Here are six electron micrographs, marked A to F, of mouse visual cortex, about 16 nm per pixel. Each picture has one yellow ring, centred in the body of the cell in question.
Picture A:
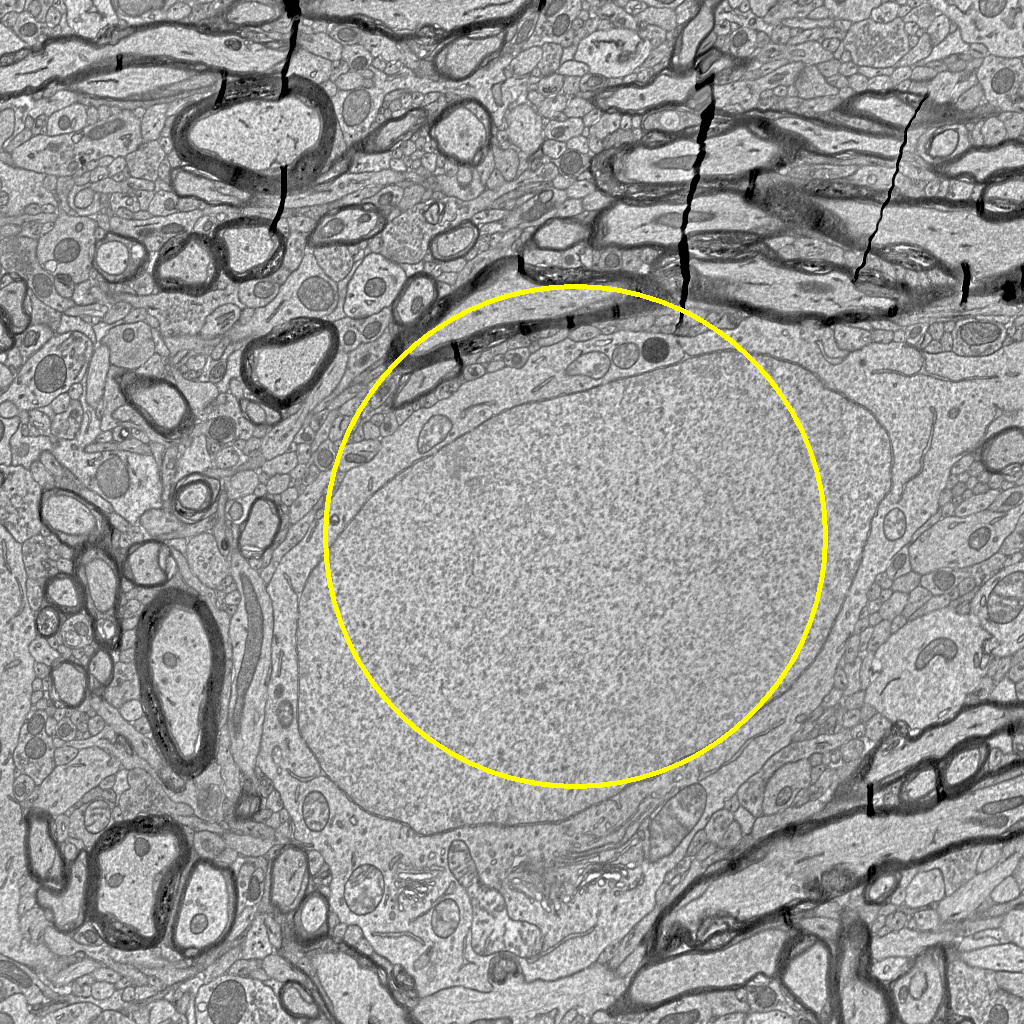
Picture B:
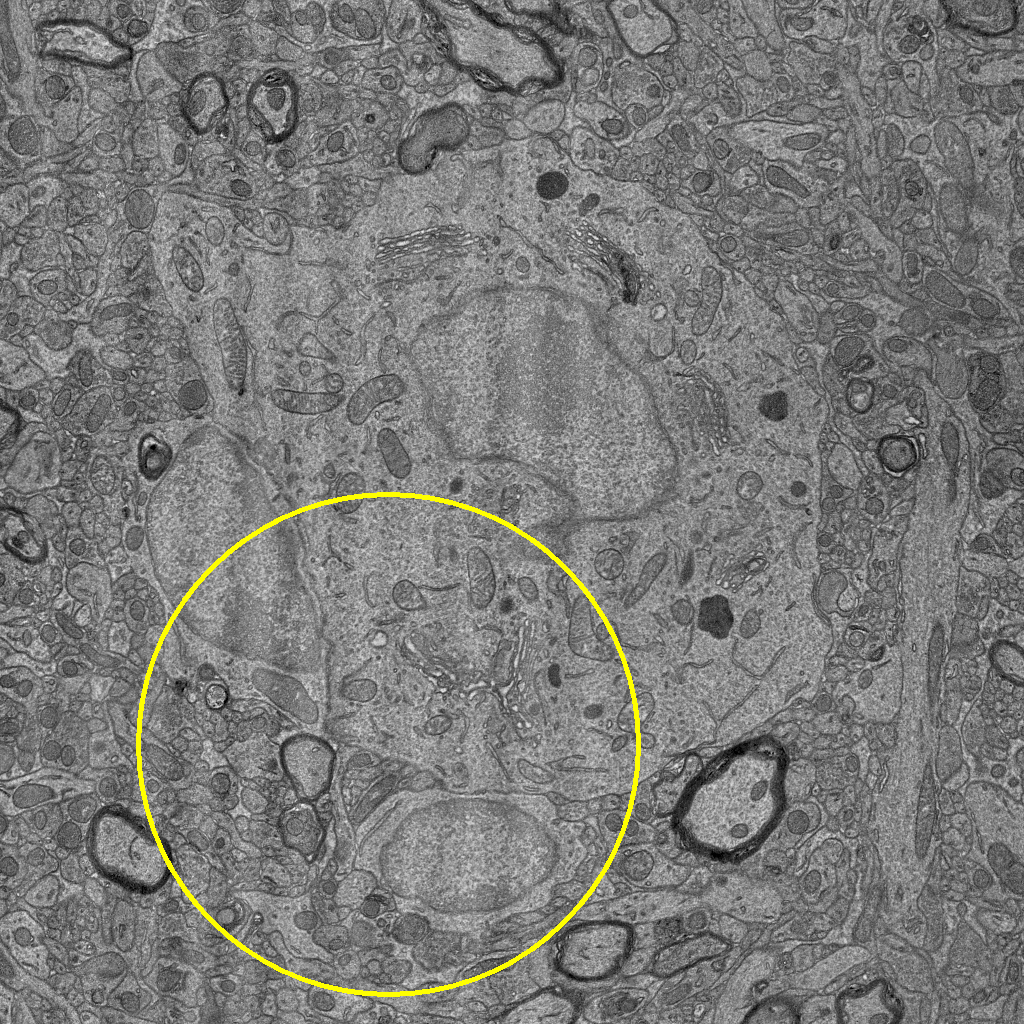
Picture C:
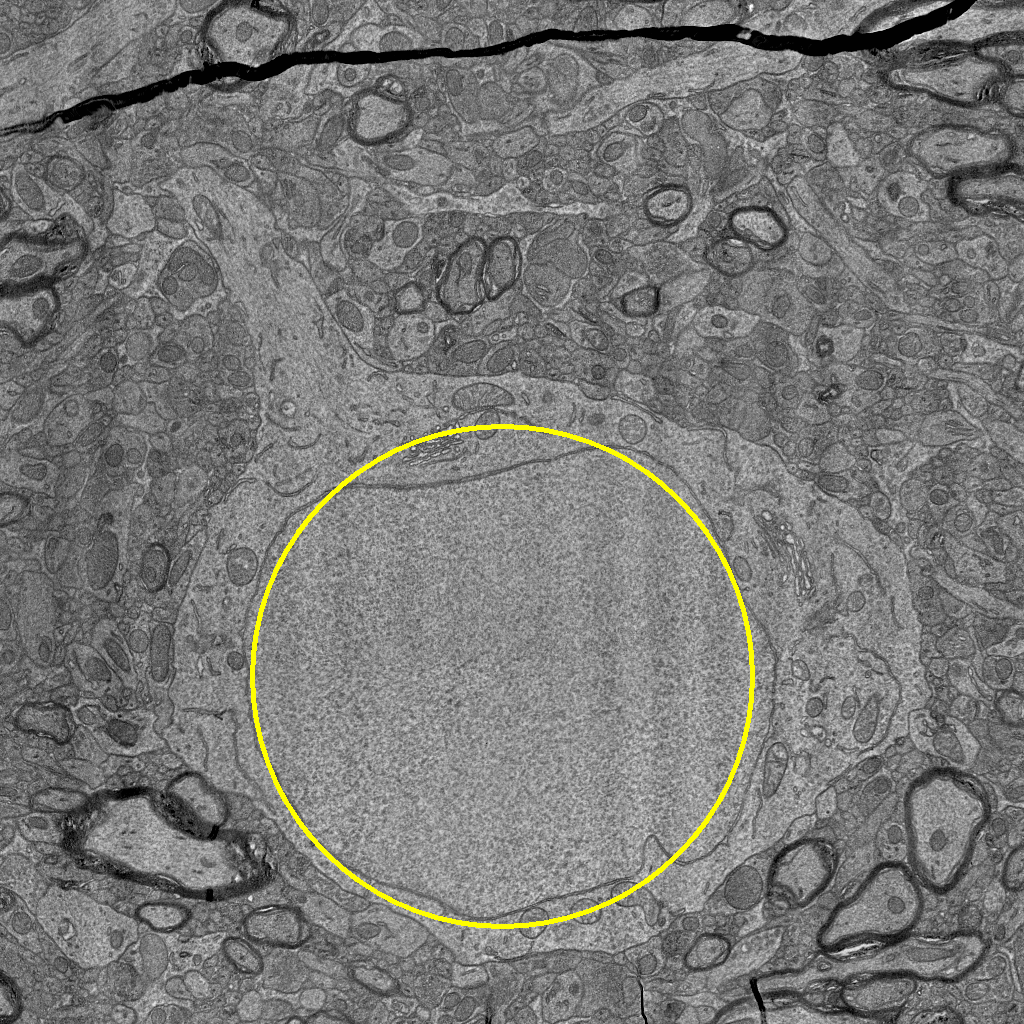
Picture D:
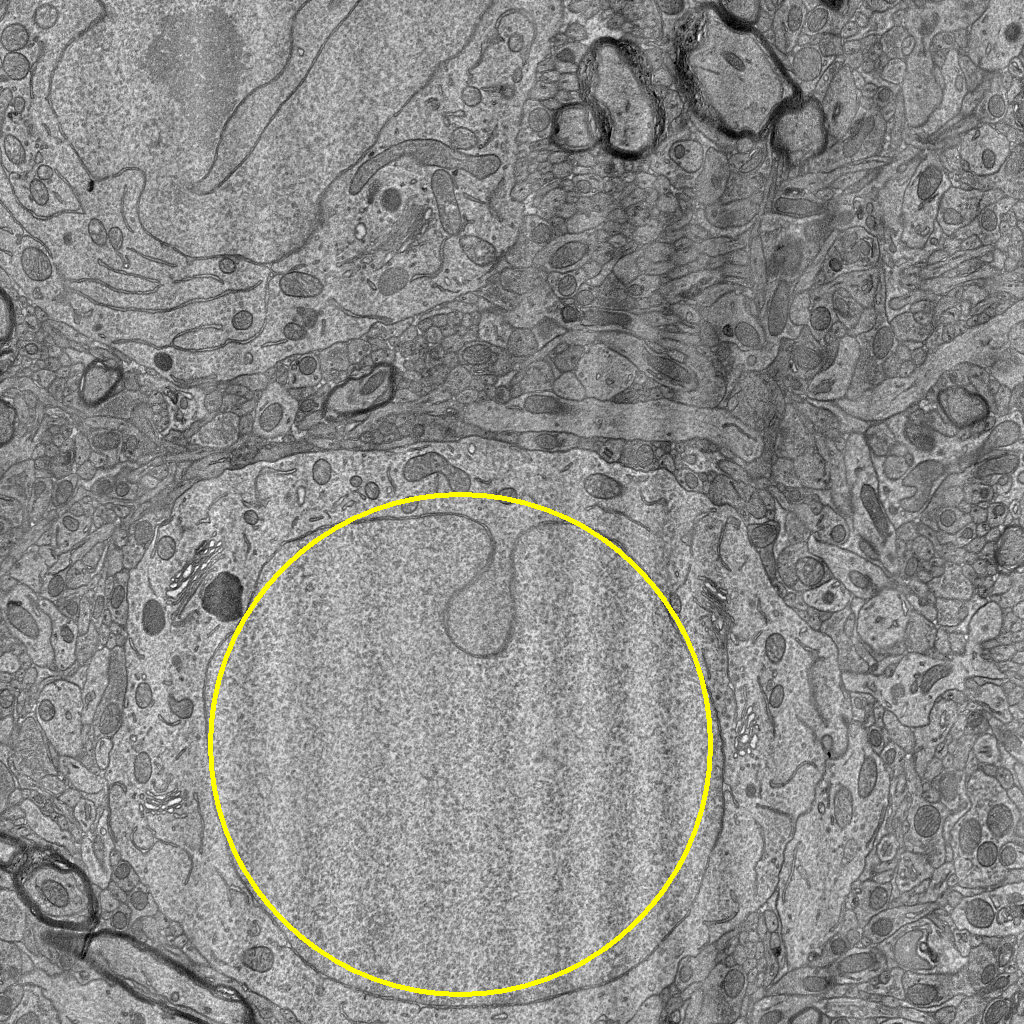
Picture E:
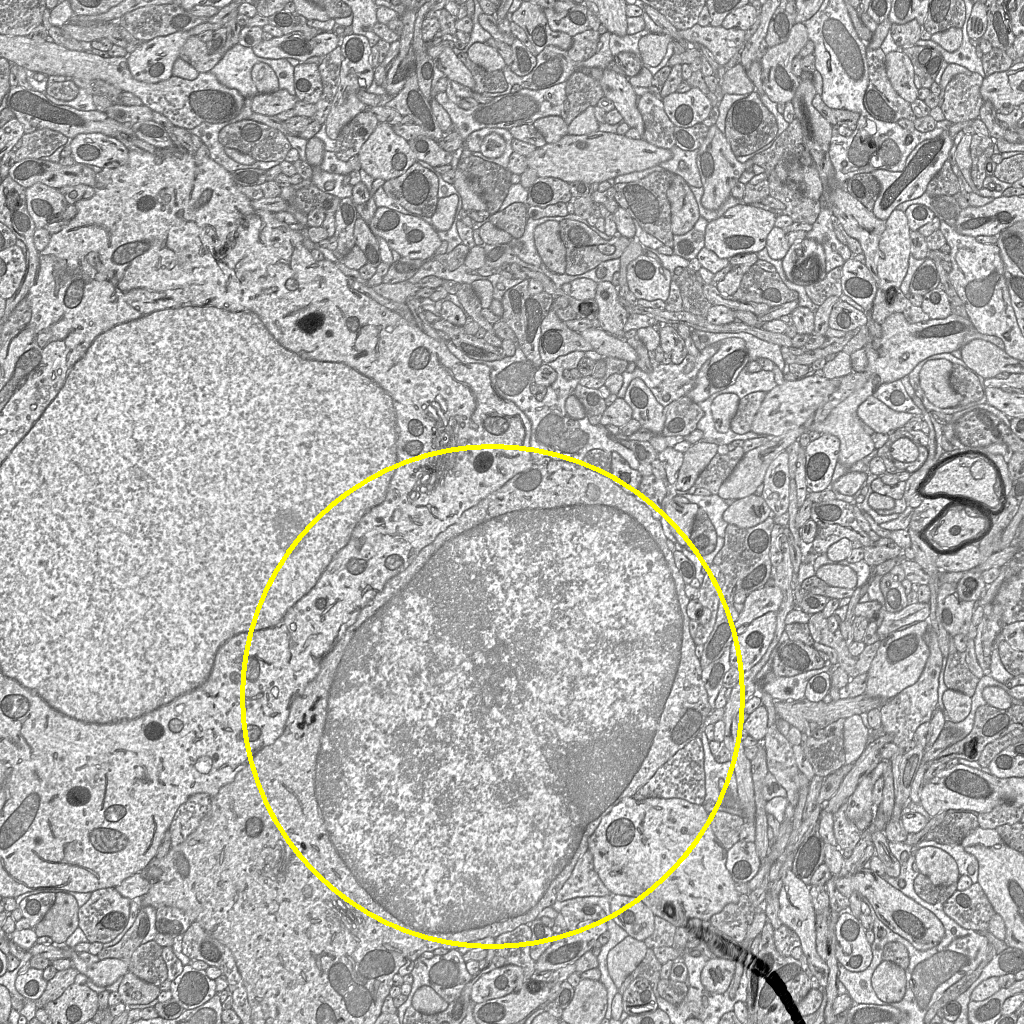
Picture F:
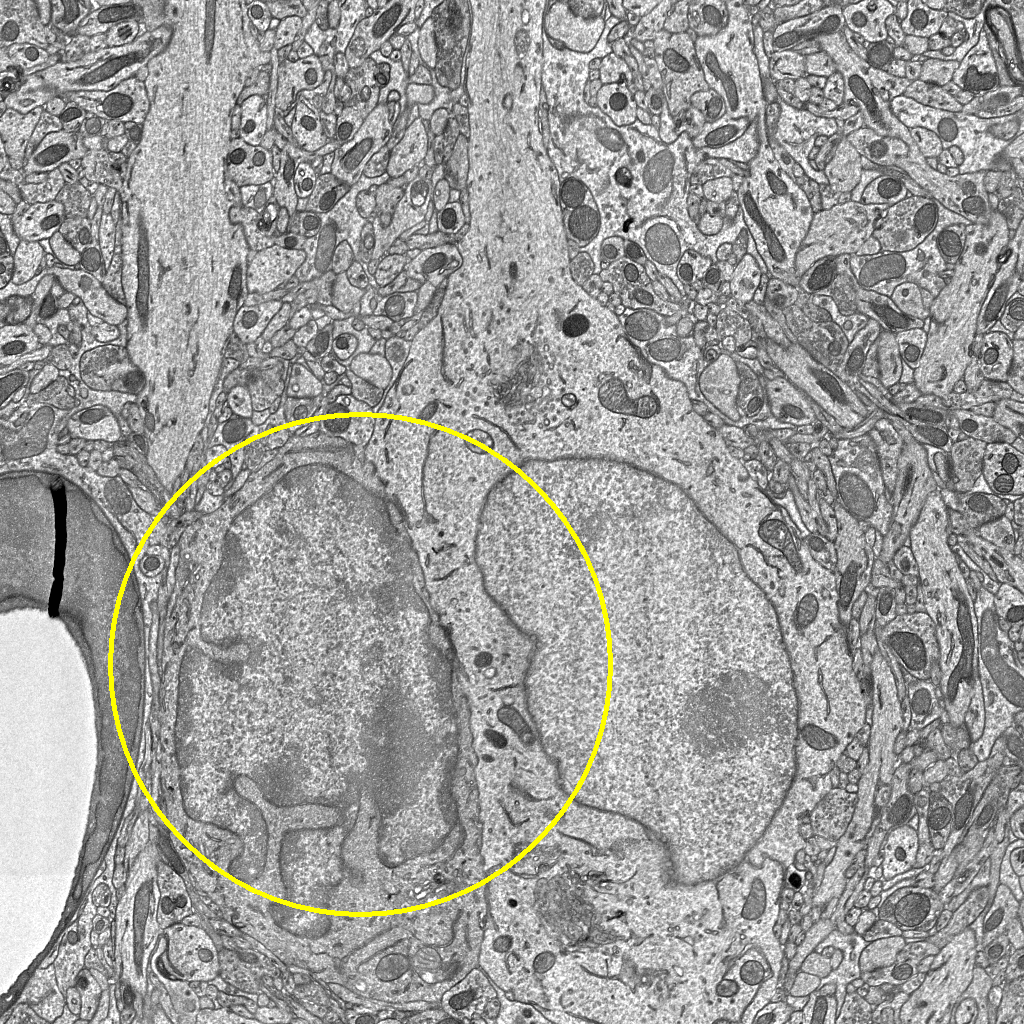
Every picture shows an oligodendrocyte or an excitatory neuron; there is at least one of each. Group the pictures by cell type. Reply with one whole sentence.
Pictures B, E and F show oligodendrocytes; pictures A, C and D show excitatory neurons.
